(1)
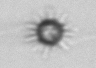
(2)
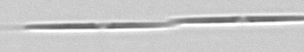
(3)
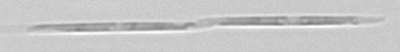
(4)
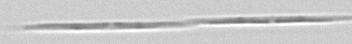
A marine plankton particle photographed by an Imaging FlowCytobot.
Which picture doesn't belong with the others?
Picture 1.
